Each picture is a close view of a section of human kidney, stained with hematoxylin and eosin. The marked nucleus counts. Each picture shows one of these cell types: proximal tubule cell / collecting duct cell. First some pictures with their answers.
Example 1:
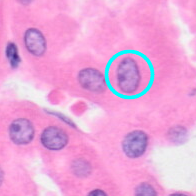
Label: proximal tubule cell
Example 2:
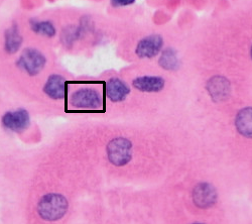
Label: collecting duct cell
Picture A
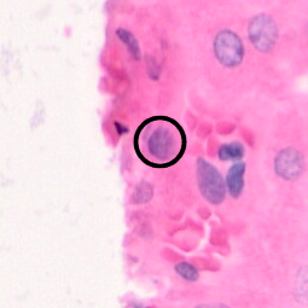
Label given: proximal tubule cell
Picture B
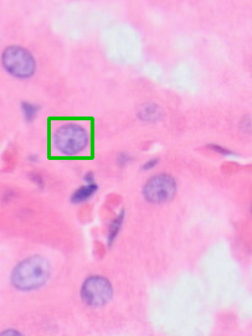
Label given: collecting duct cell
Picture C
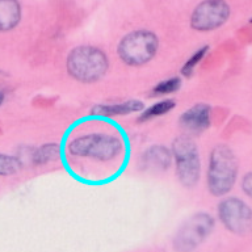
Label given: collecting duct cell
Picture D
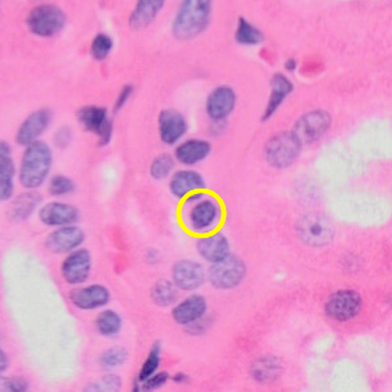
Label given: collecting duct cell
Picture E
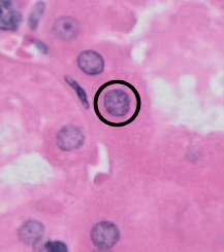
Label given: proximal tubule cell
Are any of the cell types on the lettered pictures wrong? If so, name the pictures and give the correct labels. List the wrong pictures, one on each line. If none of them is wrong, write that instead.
B: not collecting duct cell but proximal tubule cell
